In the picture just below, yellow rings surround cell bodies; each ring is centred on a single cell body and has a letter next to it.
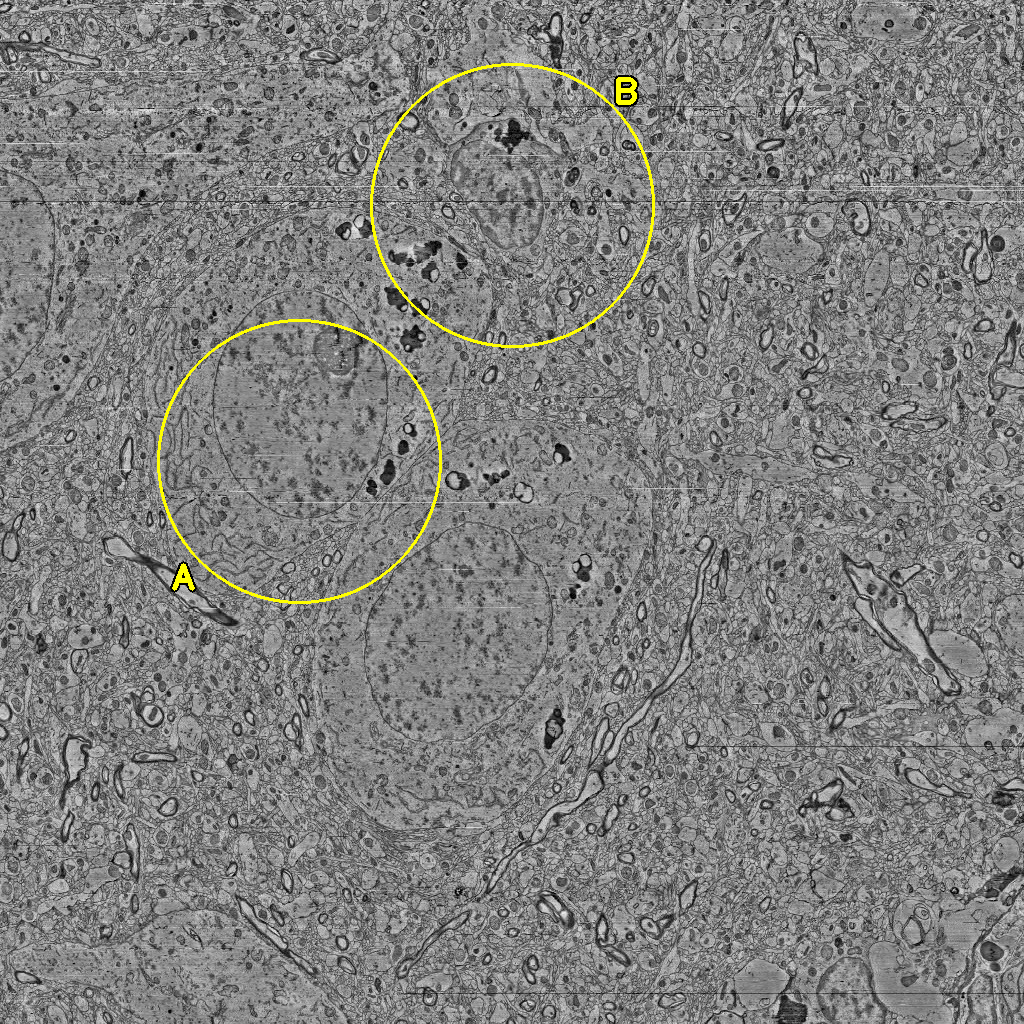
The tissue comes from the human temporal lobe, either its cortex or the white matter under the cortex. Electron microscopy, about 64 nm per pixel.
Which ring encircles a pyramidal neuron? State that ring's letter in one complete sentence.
The letter A marks the ring centred on the cell asked for in the picture.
